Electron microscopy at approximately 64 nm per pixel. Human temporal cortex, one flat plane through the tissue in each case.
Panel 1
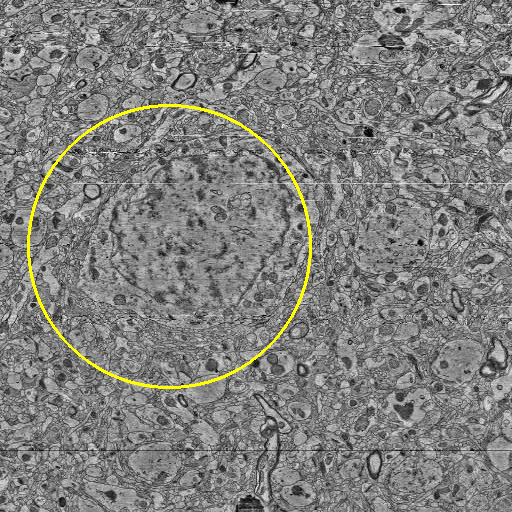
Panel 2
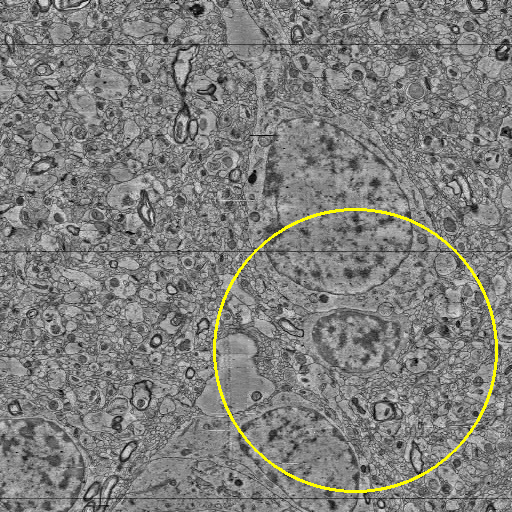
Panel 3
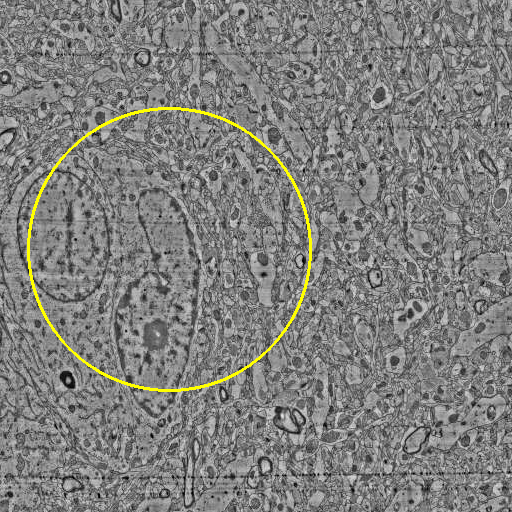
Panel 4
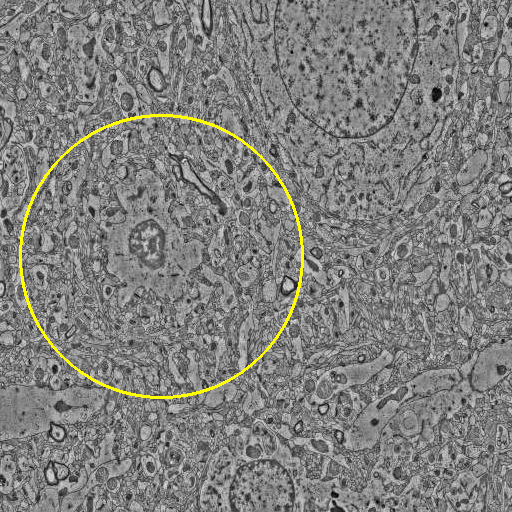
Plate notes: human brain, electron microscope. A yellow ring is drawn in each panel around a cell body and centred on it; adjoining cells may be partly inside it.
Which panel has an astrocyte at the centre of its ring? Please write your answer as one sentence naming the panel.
The ring in Panel 4 is centred on such a cell.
